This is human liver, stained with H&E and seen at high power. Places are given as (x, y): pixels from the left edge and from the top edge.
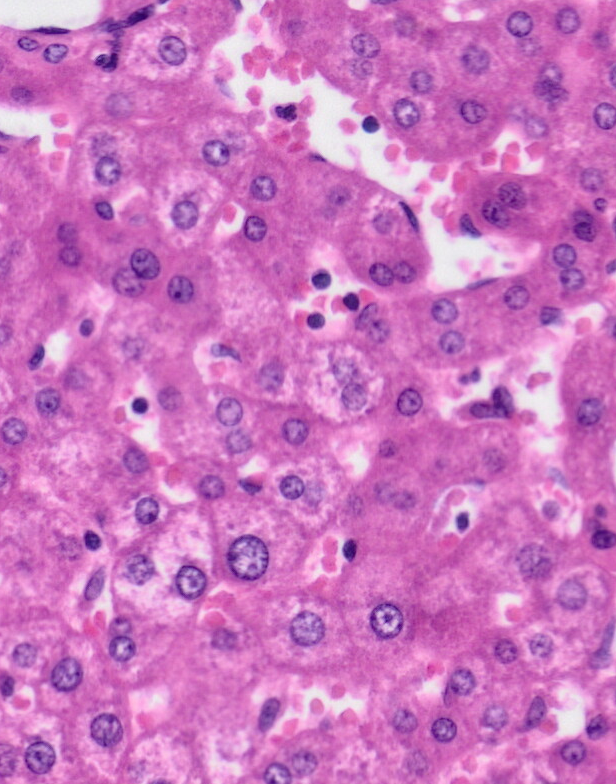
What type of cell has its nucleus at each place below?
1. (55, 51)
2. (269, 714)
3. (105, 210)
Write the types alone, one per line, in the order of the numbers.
cholangiocyte
Kupffer cell
fibroblast or stellate cell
